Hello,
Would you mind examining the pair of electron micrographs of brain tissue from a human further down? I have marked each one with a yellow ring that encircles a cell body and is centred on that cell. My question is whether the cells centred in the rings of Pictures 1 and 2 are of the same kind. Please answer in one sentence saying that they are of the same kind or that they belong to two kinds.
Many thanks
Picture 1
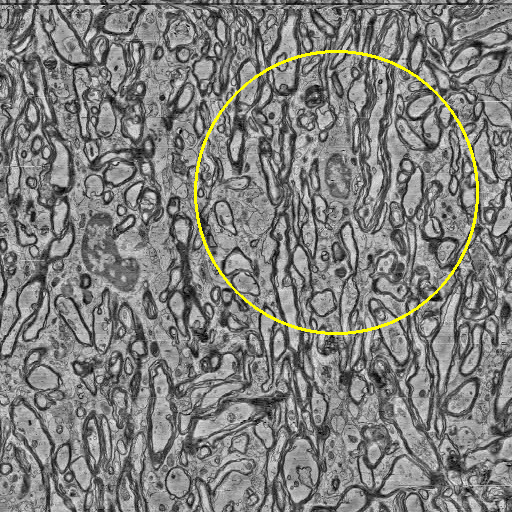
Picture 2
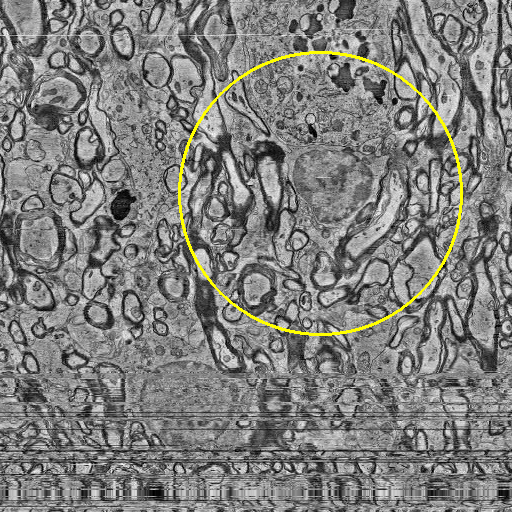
In Pictures 1 and 2, the cells at the heart of the rings are of the same kind.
